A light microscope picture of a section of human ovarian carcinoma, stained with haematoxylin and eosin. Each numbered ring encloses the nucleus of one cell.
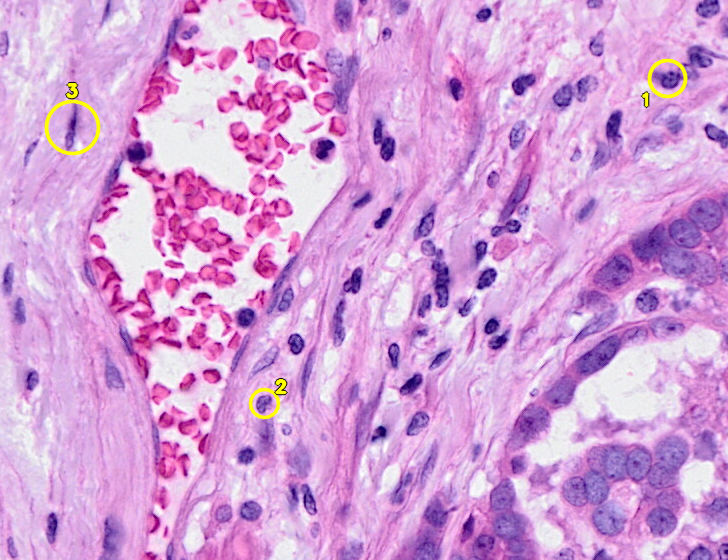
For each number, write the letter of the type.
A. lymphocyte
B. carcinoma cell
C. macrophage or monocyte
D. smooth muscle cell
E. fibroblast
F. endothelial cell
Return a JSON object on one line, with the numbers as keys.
{"1": "A", "2": "A", "3": "E"}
